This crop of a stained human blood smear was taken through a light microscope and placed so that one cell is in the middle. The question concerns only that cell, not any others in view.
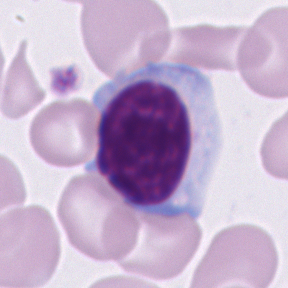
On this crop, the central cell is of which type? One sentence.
The cell at the middle of the crop is recognized as a lymphocyte.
